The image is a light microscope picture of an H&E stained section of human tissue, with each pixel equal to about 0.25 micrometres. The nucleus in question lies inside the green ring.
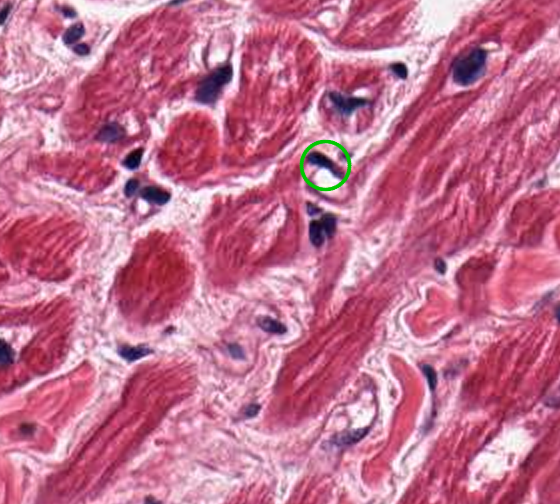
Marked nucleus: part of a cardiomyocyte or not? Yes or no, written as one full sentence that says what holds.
No, the marked nucleus is the nucleus of a supporting cell rather than of a cardiomyocyte.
